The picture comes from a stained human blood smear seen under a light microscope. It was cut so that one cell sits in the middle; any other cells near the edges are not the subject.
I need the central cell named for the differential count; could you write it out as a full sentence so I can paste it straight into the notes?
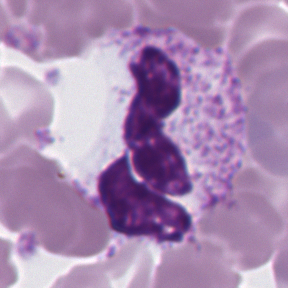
The centered cell in this crop is a neutrophil.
